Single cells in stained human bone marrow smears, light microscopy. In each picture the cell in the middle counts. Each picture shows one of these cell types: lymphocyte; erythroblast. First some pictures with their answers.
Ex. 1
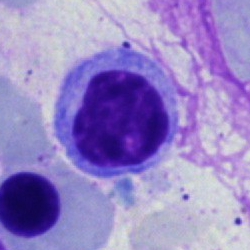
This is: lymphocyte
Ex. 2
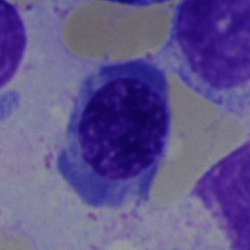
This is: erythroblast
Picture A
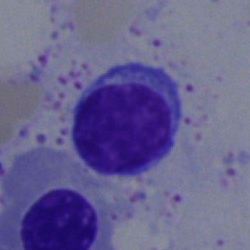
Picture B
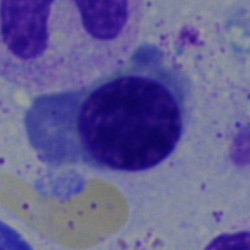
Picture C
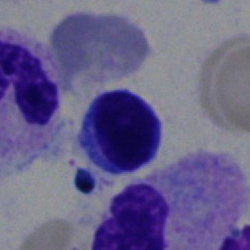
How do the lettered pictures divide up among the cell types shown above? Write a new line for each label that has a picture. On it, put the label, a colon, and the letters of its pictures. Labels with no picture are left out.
lymphocyte: A, C
erythroblast: B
